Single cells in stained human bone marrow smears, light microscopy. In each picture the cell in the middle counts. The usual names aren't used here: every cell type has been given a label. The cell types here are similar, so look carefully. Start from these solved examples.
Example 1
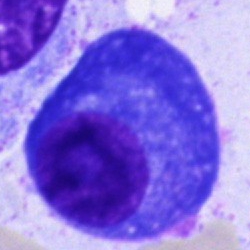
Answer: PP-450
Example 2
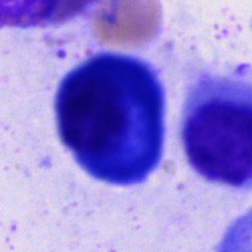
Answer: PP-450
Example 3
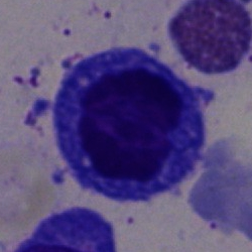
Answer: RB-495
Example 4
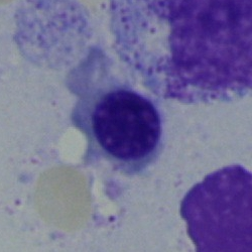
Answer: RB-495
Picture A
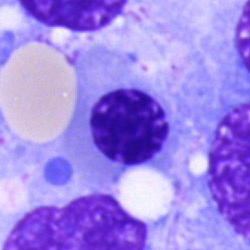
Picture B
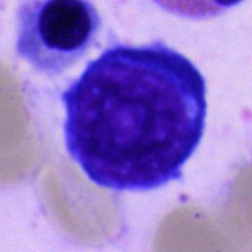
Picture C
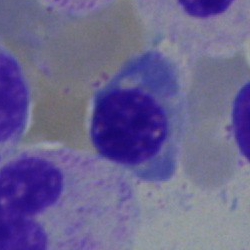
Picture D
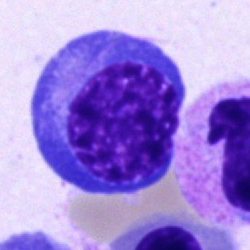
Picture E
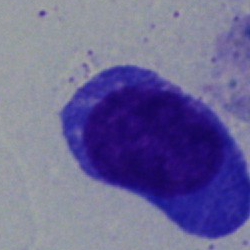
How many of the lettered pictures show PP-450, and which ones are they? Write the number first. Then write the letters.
1: E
